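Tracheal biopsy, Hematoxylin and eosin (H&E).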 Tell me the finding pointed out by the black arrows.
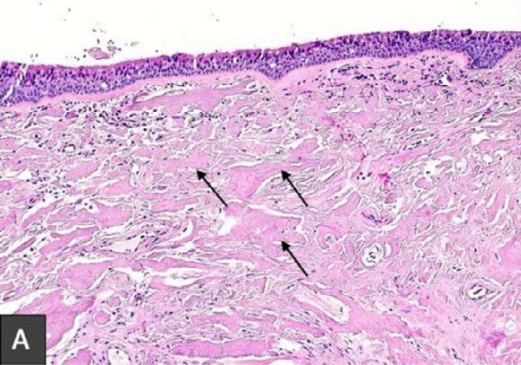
Deposits of eosinophilic material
